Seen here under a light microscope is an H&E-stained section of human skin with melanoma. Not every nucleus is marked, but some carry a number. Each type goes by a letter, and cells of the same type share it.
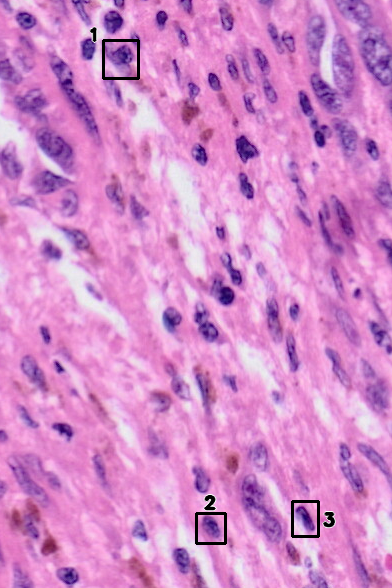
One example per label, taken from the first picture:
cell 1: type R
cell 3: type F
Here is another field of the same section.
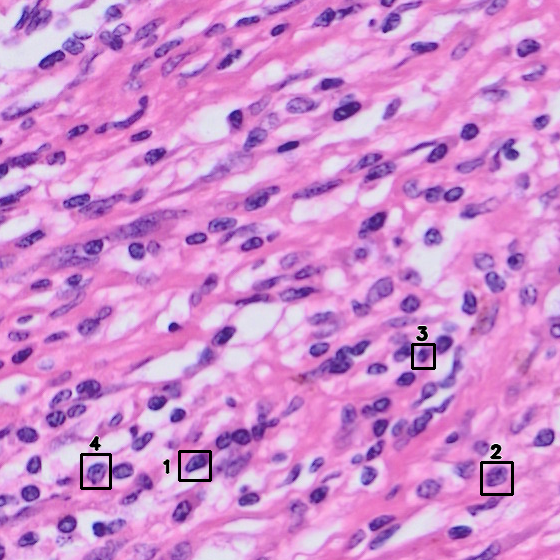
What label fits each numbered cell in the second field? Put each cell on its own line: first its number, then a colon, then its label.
1: type F
2: type F
3: type R
4: type F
